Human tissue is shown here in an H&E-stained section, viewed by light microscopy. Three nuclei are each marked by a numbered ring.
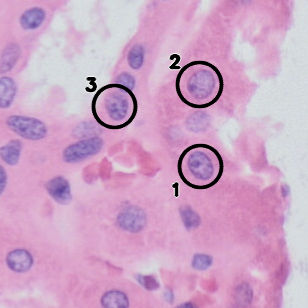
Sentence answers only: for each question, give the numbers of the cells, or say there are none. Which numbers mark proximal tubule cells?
By cell type, the cells numbered 1 and 2 are proximal tubule cells.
